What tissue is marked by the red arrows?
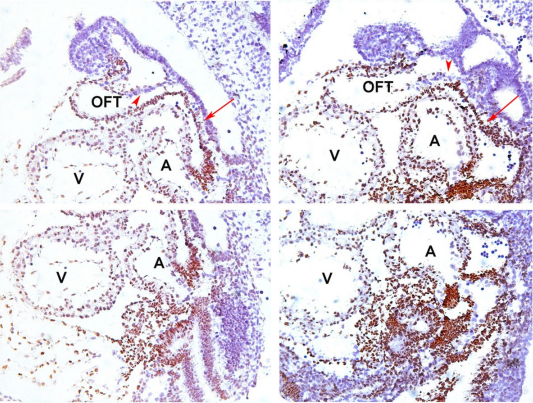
Splanchnic mesoderm.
